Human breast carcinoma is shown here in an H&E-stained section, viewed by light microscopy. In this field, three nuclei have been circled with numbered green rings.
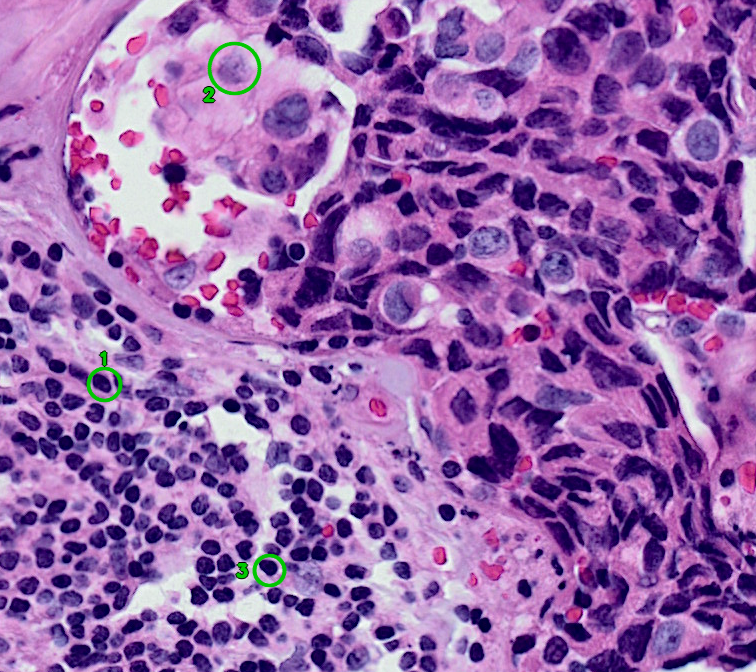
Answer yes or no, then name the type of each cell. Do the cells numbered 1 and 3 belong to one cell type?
Yes, the pair formed by cells 1 and 3 consists of two lymphocytes.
